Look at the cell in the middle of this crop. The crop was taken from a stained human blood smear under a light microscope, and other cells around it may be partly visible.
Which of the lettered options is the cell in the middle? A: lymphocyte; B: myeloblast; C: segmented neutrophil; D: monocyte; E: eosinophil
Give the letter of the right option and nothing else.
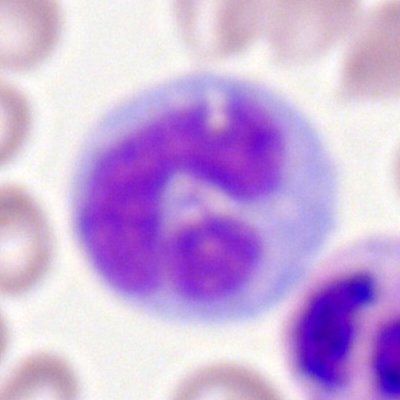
D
